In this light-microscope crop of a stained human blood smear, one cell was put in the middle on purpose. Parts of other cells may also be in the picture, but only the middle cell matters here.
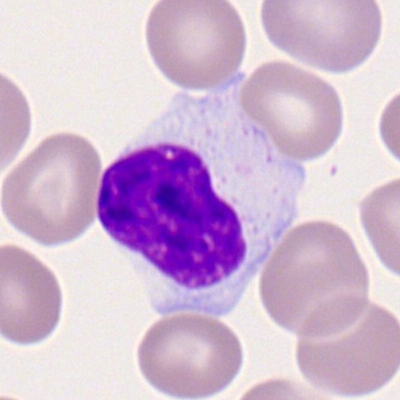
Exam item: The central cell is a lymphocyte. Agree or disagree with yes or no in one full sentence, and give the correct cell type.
Yes, a lymphocyte is the cell positioned in the middle of the field.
